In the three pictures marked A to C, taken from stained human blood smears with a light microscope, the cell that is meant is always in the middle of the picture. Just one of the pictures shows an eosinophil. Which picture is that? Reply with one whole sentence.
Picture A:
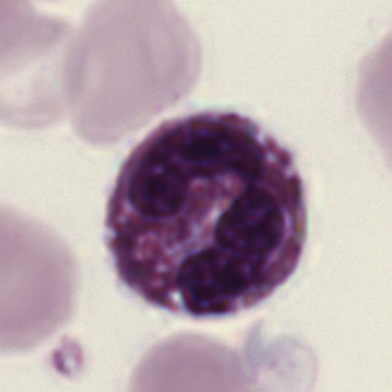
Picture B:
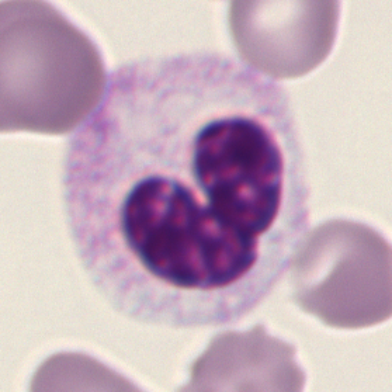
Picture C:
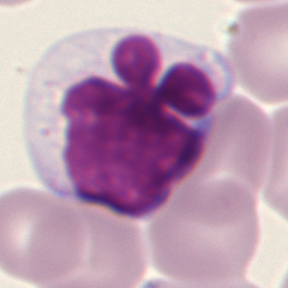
Picture A is the one that shows the eosinophil.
